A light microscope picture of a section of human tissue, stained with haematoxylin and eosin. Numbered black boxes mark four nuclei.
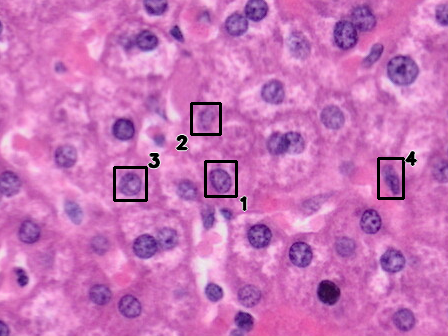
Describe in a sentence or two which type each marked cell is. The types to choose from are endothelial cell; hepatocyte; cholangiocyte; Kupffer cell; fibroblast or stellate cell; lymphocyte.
Cells 1, 2 and 3 are hepatocytes. Cell 4 is an endothelial cell.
